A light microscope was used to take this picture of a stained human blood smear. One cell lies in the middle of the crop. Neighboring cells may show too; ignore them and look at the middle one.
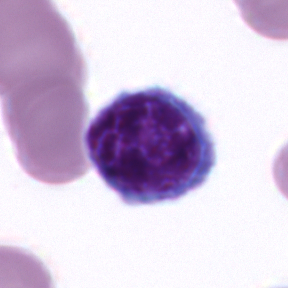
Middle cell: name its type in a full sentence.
The cell found in the middle of this crop is a plasma cell.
